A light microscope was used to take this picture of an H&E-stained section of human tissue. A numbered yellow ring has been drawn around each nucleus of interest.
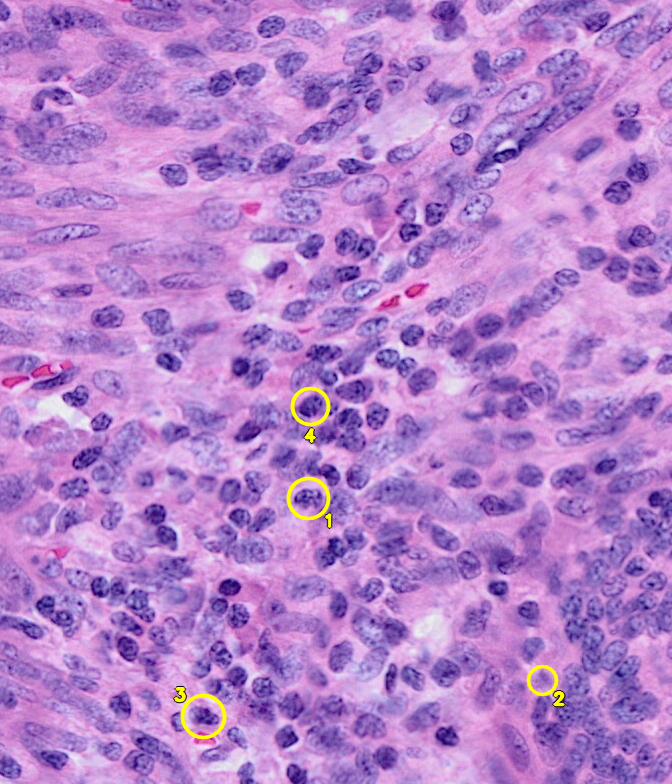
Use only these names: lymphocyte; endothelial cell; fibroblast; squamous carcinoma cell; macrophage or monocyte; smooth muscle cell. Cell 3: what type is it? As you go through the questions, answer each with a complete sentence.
Belonging to a lymphocyte is the nucleus that carries the number 3.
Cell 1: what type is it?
Cell 1 of the marked set is a lymphocyte.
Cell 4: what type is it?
Cell 4 is classified as a lymphocyte.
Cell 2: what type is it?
The one labeled 2 is a squamous carcinoma cell, to put it simply.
